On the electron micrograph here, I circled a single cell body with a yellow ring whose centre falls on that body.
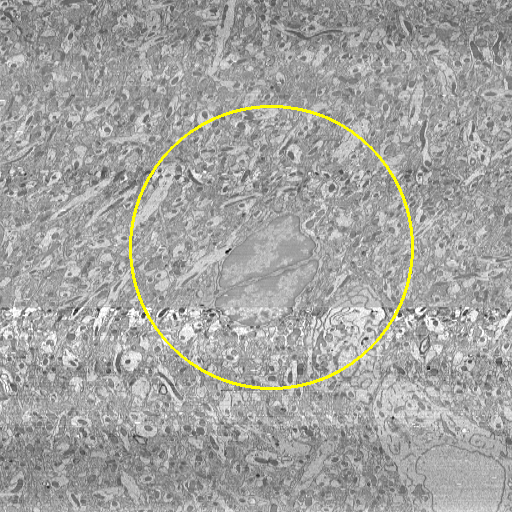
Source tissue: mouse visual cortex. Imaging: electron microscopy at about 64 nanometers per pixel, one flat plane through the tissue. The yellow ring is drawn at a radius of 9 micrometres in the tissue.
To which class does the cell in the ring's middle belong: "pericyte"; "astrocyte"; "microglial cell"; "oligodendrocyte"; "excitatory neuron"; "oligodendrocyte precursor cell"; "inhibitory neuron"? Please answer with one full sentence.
In this picture, the cell body circled at the ring's centre belongs to a microglial cell.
